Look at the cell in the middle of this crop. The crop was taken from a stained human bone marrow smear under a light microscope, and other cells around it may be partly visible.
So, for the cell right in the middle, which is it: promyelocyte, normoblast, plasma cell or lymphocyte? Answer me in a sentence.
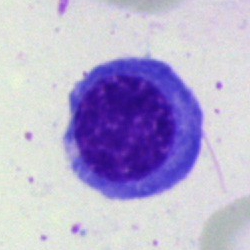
The cell found in the middle of this crop is a normoblast.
